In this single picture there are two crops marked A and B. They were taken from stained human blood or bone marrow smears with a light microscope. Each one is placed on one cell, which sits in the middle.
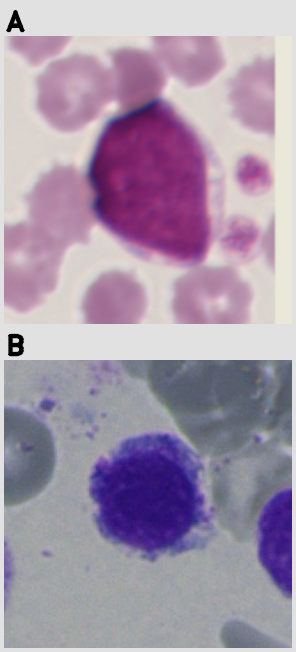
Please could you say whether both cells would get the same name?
no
